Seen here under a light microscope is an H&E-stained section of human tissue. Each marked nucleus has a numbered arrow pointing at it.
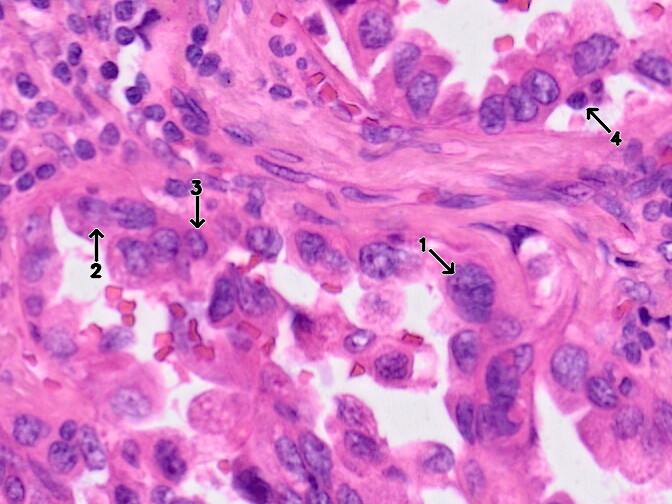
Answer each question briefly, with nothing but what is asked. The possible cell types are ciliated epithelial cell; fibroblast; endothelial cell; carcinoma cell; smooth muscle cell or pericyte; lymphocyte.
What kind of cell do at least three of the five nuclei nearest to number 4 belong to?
carcinoma cell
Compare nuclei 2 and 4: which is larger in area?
2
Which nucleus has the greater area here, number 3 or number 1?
1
